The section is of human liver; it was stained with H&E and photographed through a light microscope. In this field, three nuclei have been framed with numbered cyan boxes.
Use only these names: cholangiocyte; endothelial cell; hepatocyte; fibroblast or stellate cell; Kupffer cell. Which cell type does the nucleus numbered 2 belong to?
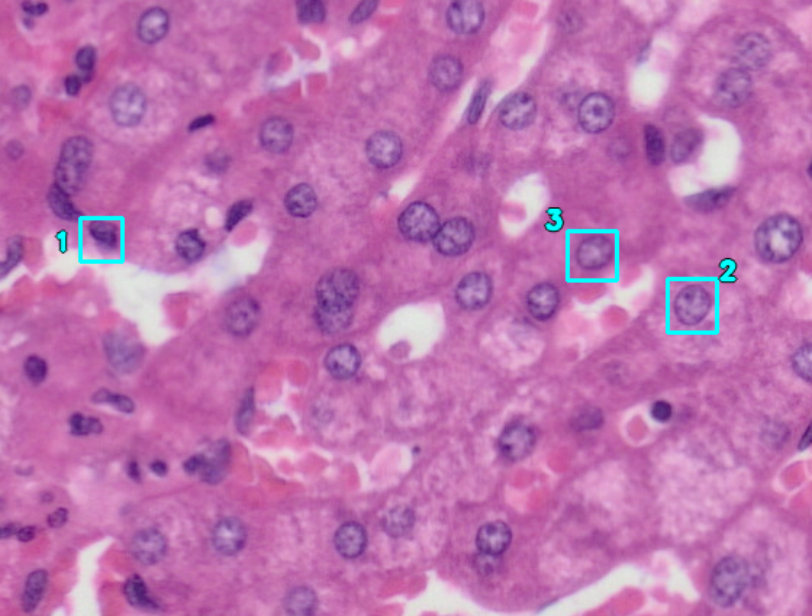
hepatocyte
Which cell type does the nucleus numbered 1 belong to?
fibroblast or stellate cell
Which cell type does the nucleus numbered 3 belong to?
hepatocyte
